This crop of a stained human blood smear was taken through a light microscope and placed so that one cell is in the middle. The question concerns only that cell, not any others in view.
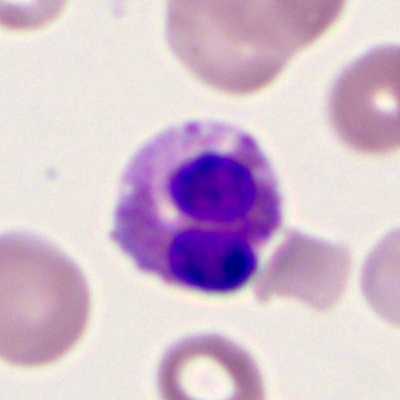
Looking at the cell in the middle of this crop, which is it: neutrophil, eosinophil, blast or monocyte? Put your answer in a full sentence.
As for the central cell, it is an eosinophil.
